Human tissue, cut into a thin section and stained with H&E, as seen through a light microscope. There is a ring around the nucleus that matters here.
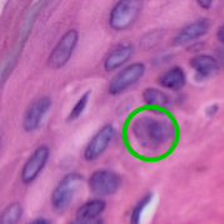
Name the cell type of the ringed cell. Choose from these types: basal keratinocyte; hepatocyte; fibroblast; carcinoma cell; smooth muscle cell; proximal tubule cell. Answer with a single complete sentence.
It is as a basal keratinocyte that the ringed cell is classified.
